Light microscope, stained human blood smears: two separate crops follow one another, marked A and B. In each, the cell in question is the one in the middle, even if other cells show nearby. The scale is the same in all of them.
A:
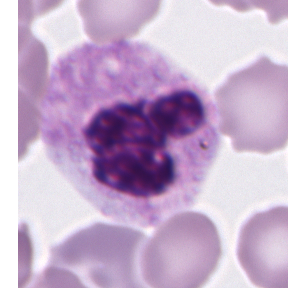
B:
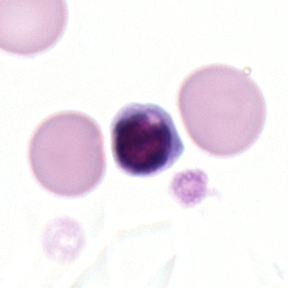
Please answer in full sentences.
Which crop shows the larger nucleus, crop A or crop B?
The nucleus in crop A is larger, with about 3 times the area of the one in crop B.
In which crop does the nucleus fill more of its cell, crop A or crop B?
It is the cell in crop B that is filled more by its nucleus.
